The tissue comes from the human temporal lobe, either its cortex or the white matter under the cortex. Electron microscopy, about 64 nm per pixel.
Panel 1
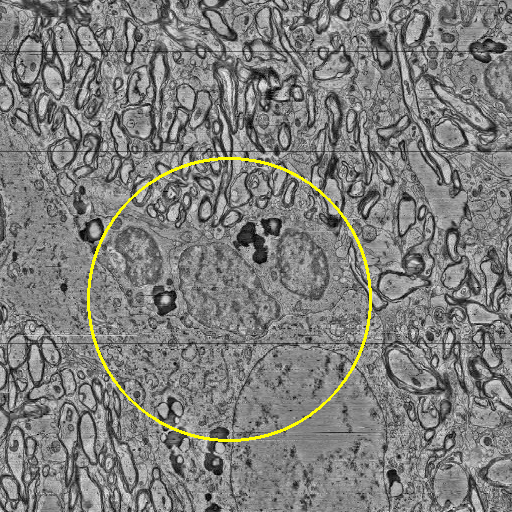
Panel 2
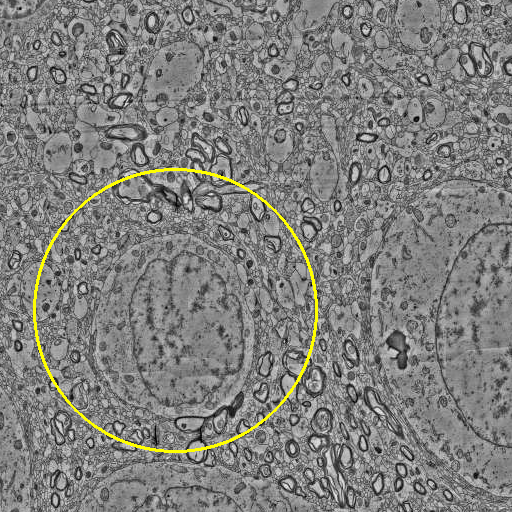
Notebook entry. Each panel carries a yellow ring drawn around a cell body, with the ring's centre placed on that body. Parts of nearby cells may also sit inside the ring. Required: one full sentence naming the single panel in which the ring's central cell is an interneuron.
Panel 2 is the single one with the sought cell at its ring's centre.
